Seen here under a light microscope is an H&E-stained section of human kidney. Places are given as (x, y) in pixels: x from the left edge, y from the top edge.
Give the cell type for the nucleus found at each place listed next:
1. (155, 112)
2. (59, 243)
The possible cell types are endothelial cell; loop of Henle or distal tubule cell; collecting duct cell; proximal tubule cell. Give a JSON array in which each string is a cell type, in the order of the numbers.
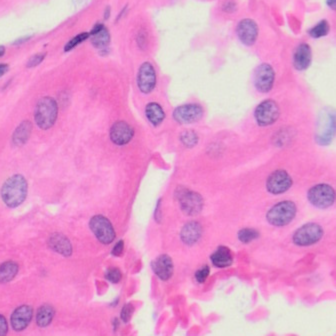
["collecting duct cell", "proximal tubule cell"]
